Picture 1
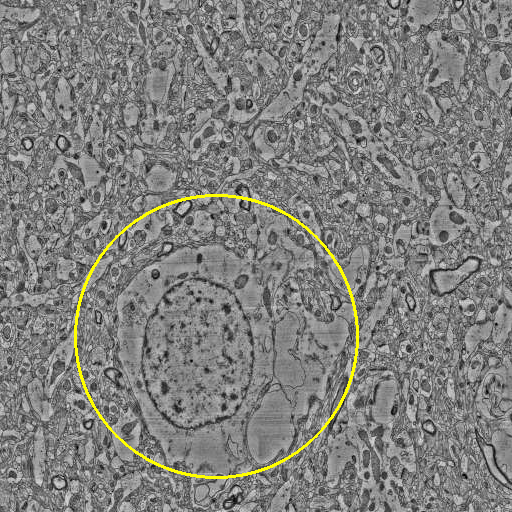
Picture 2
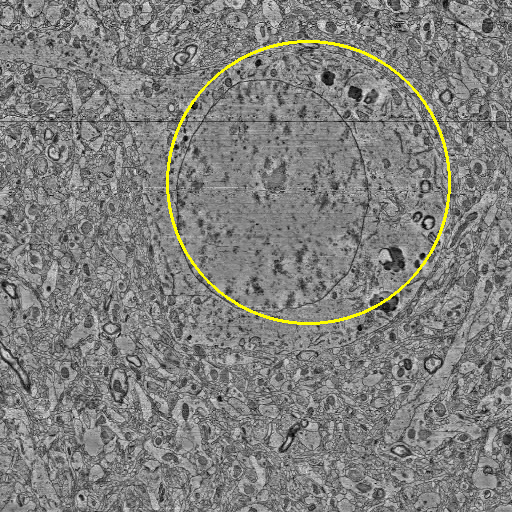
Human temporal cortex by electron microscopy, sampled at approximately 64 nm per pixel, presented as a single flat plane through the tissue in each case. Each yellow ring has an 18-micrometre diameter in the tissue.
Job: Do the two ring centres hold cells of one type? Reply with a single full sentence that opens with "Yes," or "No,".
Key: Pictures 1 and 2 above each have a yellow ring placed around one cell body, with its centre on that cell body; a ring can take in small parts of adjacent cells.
No, the cells at the two ring centres are of two separate types.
